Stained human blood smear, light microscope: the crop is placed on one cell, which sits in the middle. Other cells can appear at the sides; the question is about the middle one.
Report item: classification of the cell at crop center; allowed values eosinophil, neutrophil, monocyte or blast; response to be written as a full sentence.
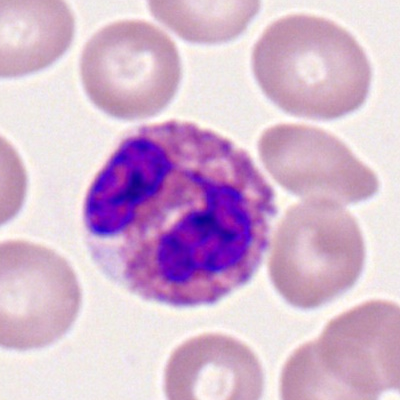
The single cell at the center of the crop is an eosinophil.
